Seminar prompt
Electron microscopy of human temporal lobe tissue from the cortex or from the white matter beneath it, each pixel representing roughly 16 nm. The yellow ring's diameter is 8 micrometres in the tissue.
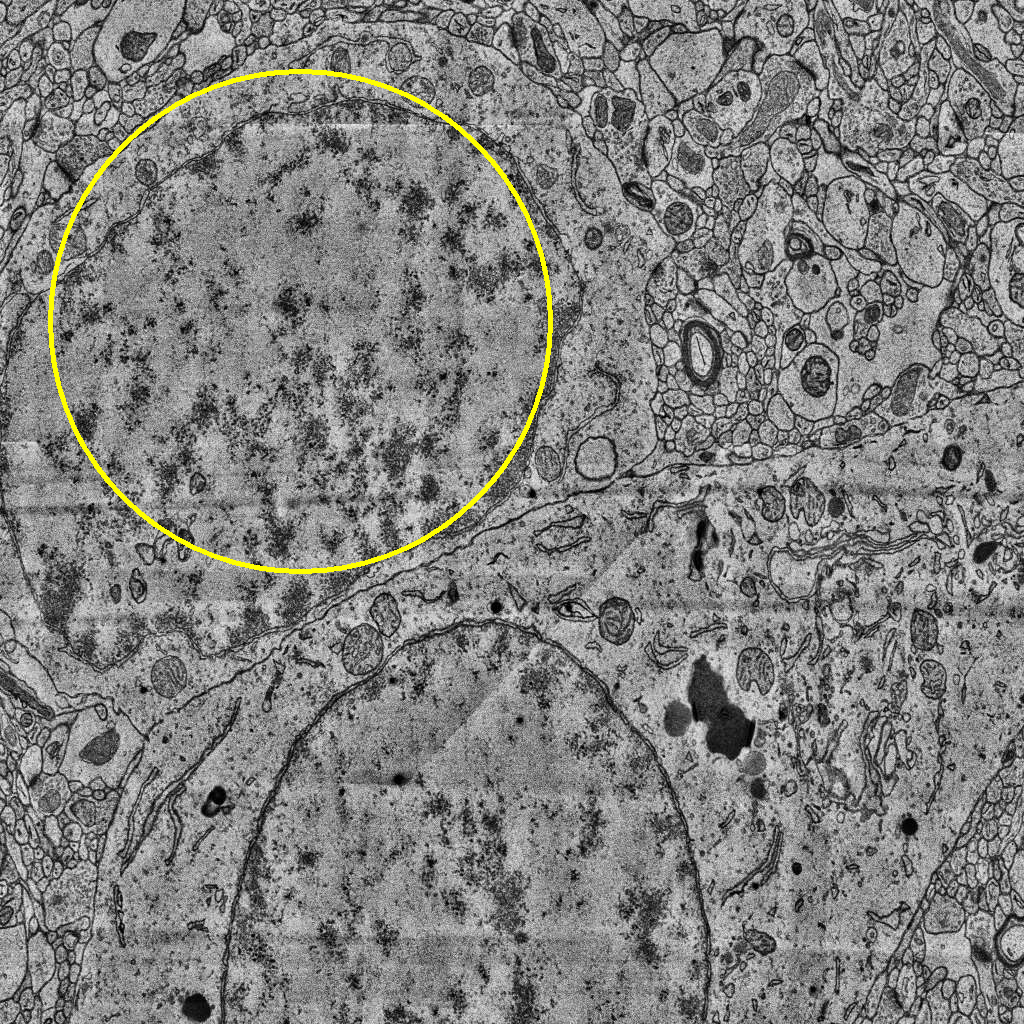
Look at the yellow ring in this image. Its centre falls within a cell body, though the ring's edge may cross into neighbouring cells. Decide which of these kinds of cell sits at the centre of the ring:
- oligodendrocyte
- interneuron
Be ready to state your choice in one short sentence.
The kind of cell at the ring's centre is an interneuron.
